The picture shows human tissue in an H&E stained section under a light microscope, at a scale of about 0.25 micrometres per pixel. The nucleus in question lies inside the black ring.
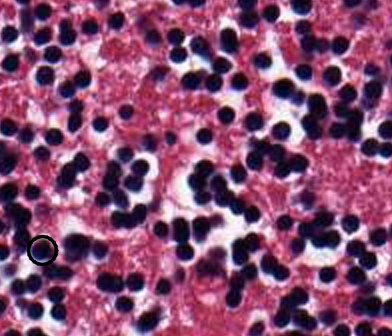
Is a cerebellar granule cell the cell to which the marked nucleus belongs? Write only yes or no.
yes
